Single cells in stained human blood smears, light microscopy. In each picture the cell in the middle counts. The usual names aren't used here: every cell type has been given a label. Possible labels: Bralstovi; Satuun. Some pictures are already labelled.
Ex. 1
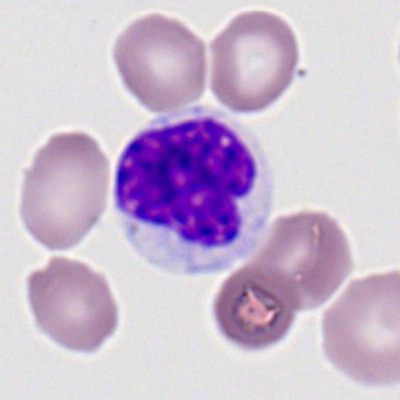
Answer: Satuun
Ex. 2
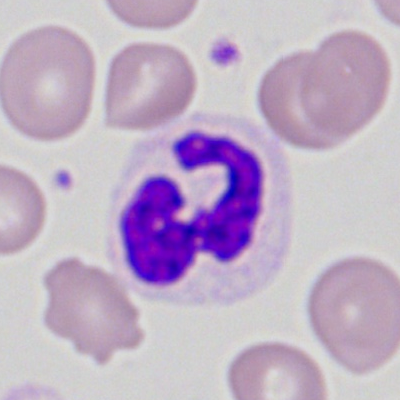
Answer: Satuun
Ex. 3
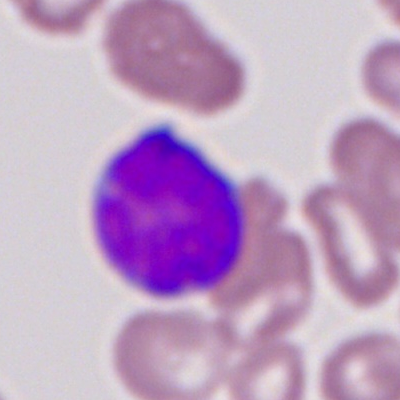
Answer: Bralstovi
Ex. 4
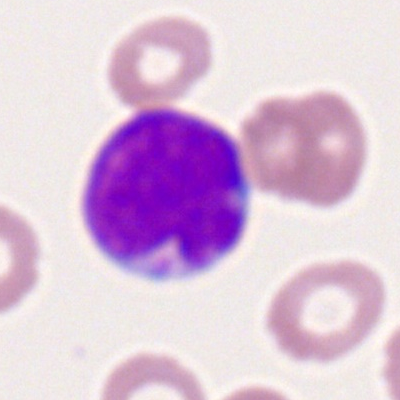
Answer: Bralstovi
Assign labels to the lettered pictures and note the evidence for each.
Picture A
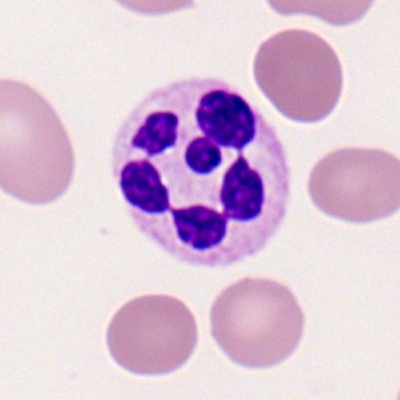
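Satuun. Evidence: The nucleus is split into six separate lobes.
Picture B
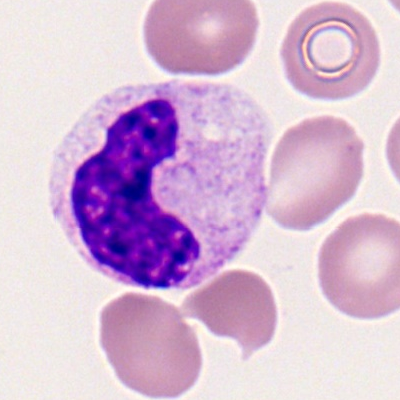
Satuun. Evidence: The cytoplasm is plentiful rather than a thin rim.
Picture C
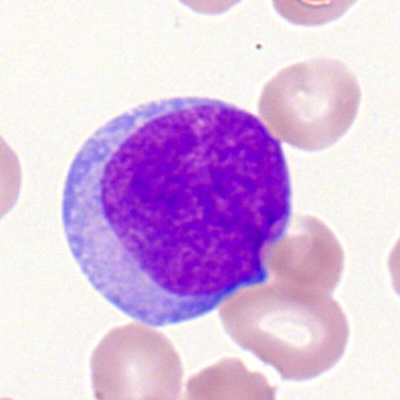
Bralstovi. Evidence: The cytoplasm is stained blue.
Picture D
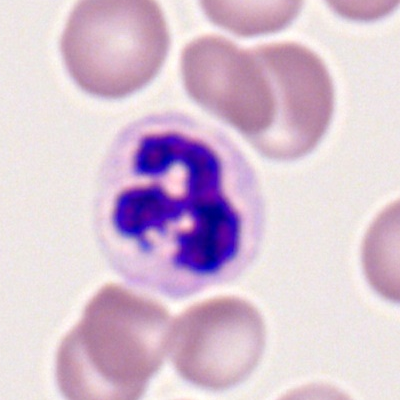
Satuun. Evidence: The cytoplasm is pale pink.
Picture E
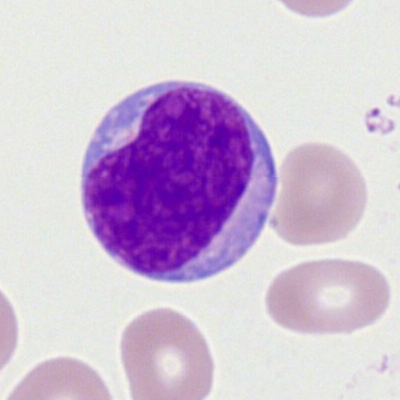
Bralstovi. Evidence: The nucleus fills most of the cell.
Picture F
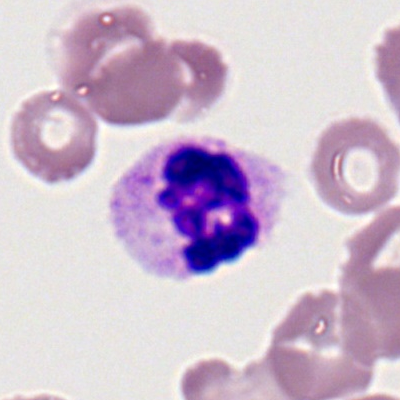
Satuun. Evidence: The nucleus is divided into several connected lobes.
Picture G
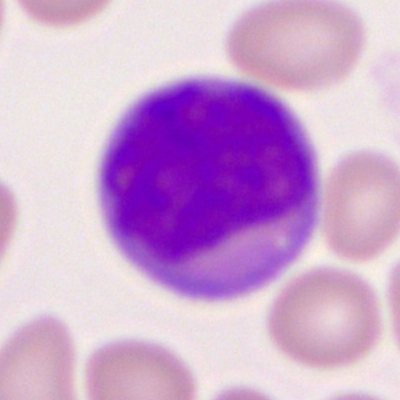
Bralstovi. Evidence: The nucleus fills most of the cell.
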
